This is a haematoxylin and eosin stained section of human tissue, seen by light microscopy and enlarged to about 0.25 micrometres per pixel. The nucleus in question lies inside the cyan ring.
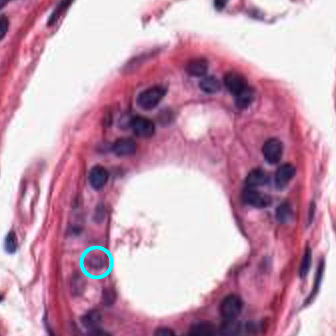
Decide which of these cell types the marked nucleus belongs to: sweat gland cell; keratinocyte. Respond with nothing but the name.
sweat gland cell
